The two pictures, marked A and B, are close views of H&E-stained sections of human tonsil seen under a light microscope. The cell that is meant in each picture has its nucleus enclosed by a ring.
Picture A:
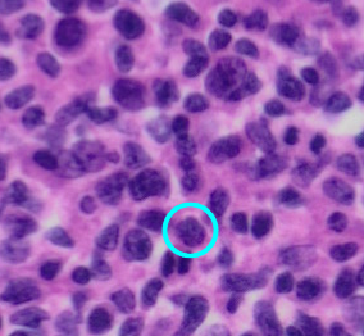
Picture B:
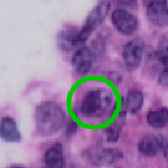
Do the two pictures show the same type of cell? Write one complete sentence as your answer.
Yes, the two pictures both show proliferating B cells.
